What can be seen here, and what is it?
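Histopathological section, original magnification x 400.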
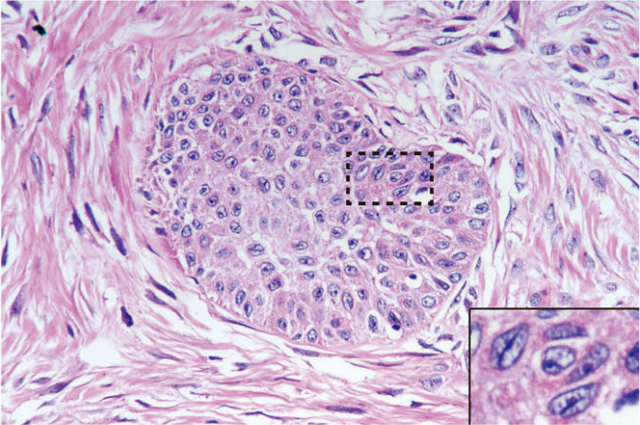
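A well-defined nest of urothelium-like epithelial cells sits within a cellular stroma of spindle cells with elongated dark nuclei and pink fibres running around the nest. The nest is rounded and sharply bordered. Its cells are polygonal and cohesive, with pale pink to clear cytoplasm and oval, fairly uniform nuclei with fine chromatin and small nucleoli. An enlarged inset shows several nuclei with a lengthwise groove, giving a coffee-bean look. No gland lumens are seen in this nest.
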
